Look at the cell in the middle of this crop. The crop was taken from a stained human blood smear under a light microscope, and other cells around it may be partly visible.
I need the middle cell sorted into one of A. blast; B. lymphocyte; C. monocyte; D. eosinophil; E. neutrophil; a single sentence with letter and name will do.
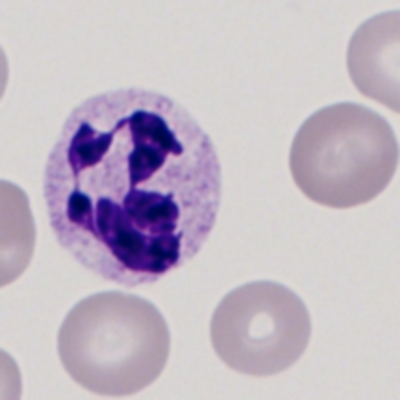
Option E is the keyed answer: the cell in the middle is a neutrophil.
